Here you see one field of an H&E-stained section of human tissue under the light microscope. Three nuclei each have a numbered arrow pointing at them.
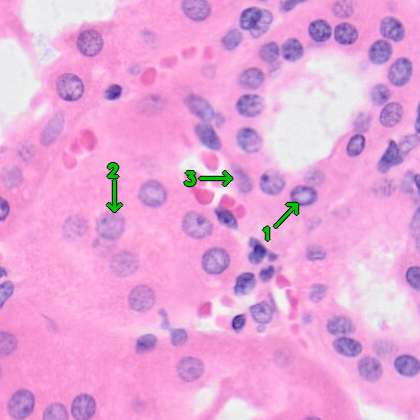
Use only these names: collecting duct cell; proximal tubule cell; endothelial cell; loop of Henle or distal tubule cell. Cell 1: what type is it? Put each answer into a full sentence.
The cell identified by number 1 is a collecting duct cell.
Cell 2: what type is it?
Nucleus 2 in this section belongs to a proximal tubule cell.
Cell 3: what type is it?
Among the marked cells, number 3 is a collecting duct cell.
